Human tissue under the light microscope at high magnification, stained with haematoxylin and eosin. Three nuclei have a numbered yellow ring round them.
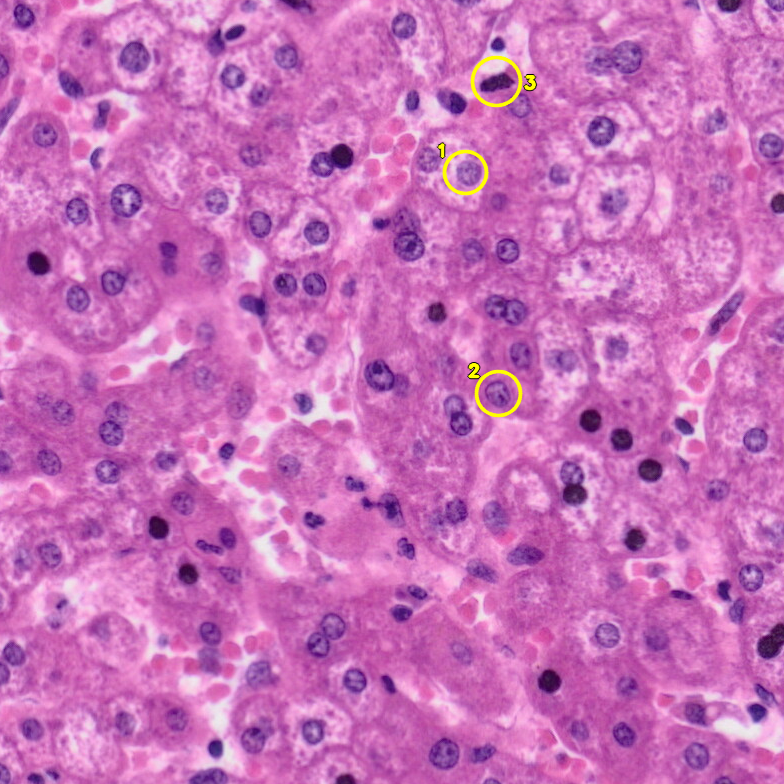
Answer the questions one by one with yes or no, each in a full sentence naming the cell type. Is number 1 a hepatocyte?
Yes, the number 1 belongs to a hepatocyte.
